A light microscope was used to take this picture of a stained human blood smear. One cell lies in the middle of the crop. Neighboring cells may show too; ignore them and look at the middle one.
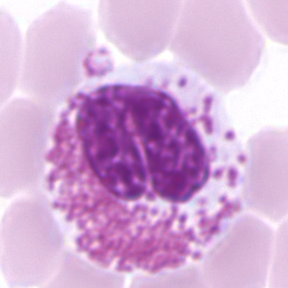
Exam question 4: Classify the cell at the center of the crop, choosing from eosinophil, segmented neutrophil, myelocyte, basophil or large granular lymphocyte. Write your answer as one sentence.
The cell of interest, in the center, is an eosinophil.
